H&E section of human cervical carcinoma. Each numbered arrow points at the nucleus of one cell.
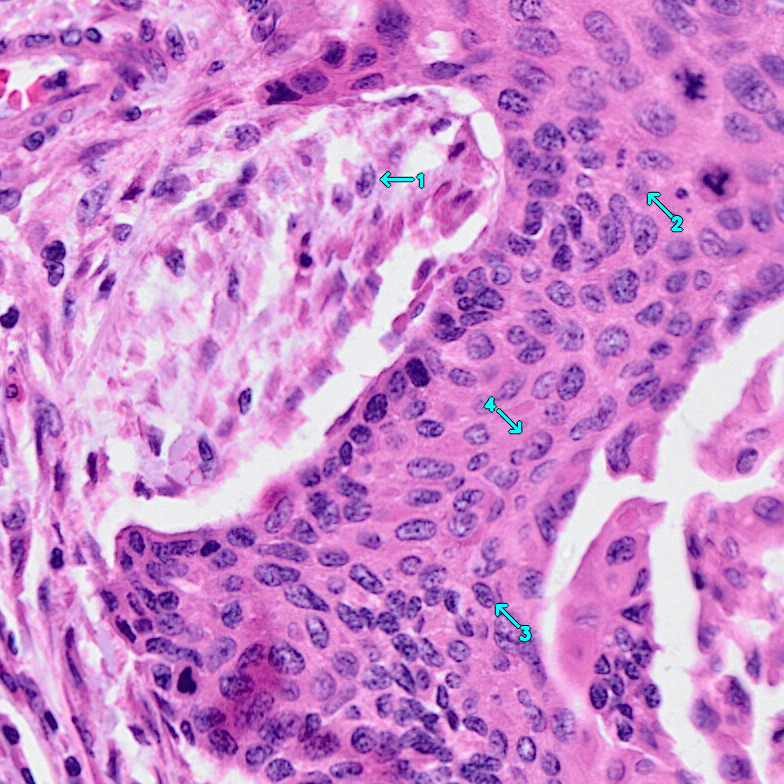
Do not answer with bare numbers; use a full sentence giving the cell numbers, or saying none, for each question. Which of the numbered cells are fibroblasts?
The cell labelled 1 is a fibroblast, while the remaining numbered cells are not.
